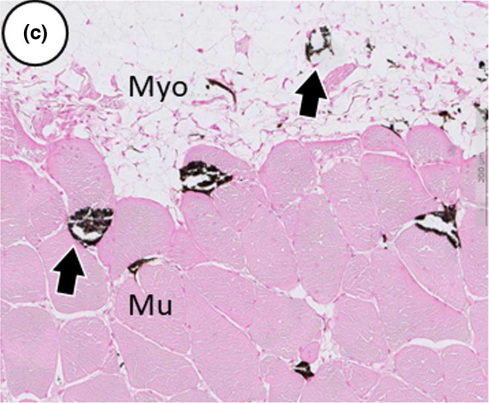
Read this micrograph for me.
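The muscle fibres are pink, polygonal and closely packed, separated by thin clear spaces. Irregular black deposits lie in several places between fibres and partly within fibres, some outlining or filling the gaps between neighbouring fibres. The loose connective tissue above is pale, open and meshwork-like, with scattered thin strands and further black deposits, one larger curved deposit near the upper edge. Most fibres themselves look uniformly pink without black material.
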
